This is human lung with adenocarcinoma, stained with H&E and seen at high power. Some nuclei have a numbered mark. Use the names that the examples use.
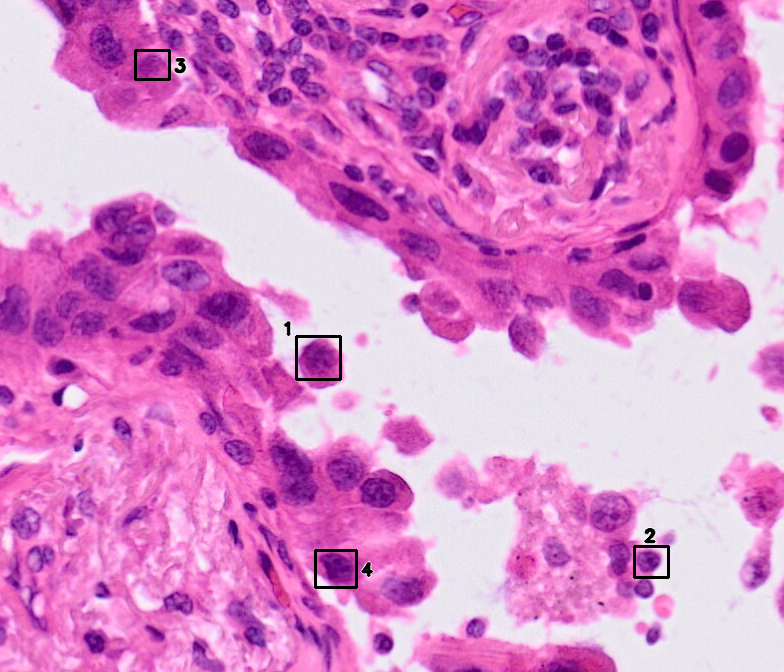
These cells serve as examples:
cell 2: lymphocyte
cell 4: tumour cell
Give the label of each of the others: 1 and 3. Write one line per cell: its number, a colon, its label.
1: tumour cell
3: tumour cell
